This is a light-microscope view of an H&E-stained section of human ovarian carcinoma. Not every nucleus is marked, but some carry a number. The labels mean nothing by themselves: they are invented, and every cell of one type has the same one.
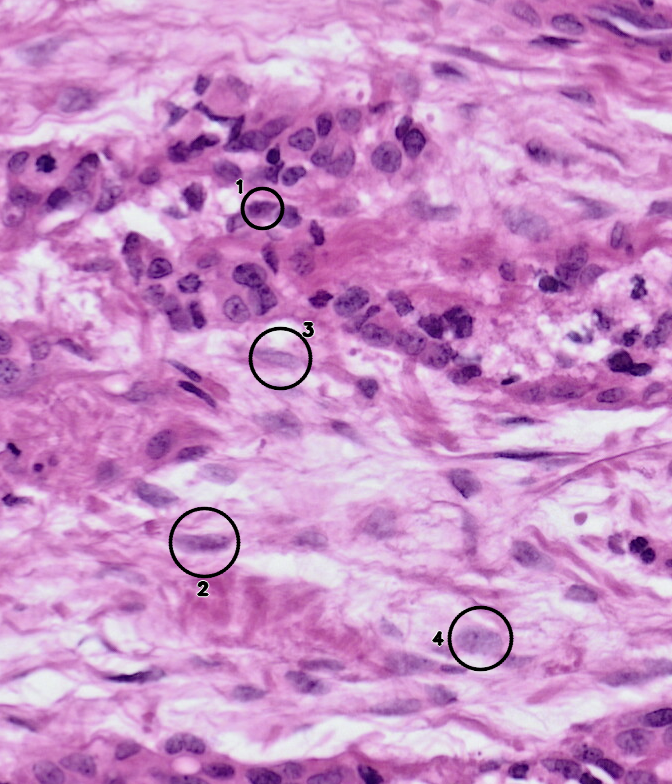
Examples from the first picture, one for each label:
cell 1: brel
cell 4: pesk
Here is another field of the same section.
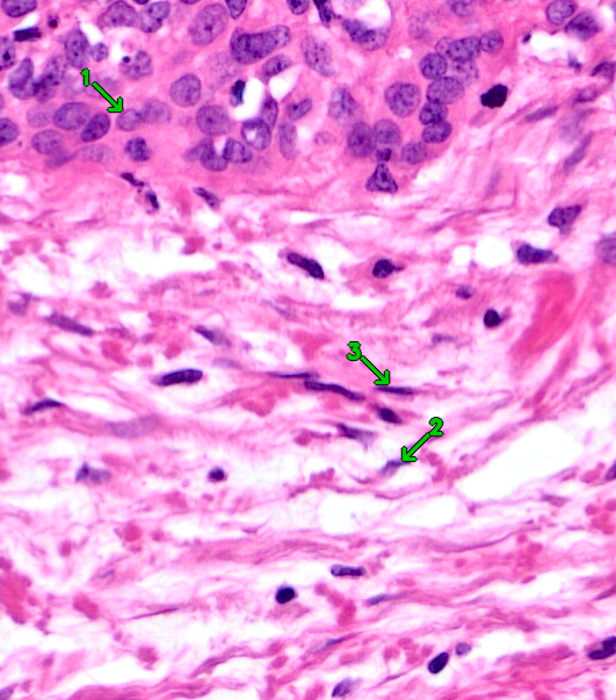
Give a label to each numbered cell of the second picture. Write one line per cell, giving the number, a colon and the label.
1: brel
2: pesk
3: pesk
